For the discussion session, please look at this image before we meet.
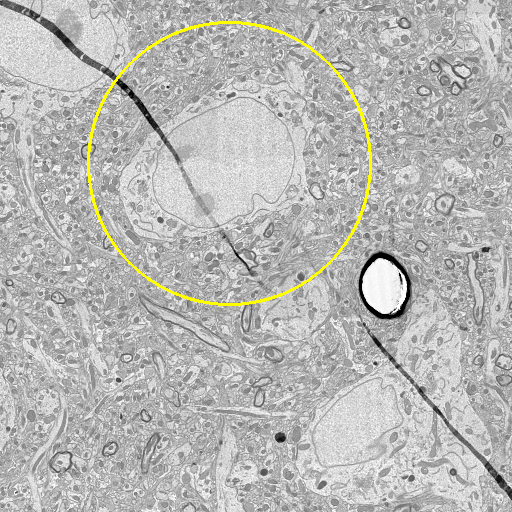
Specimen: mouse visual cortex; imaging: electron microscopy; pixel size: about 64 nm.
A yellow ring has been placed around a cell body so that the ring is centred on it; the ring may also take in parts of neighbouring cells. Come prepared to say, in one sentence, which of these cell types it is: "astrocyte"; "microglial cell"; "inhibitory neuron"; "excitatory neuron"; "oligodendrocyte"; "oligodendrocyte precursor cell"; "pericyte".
The cell centred in the ring is an excitatory neuron.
